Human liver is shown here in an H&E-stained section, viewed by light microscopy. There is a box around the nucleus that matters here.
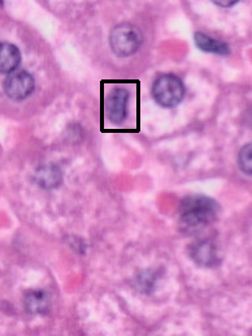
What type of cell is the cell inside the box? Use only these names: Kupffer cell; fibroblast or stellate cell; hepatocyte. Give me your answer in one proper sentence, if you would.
Students should answer that the cell inside the box is a fibroblast or stellate cell.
